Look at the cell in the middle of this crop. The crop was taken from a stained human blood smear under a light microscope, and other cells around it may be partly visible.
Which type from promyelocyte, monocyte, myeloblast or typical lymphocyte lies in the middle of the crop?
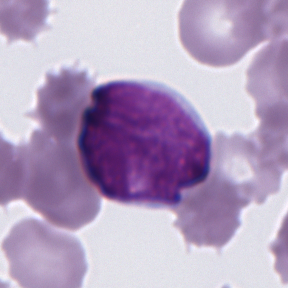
myeloblast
